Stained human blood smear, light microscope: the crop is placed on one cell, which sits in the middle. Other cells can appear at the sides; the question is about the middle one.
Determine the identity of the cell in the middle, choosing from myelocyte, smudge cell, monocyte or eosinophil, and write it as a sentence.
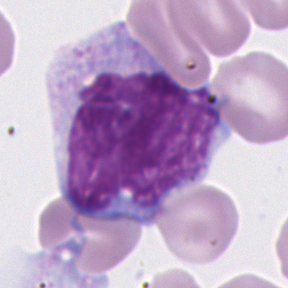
In the middle of this smear crop is a monocyte.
